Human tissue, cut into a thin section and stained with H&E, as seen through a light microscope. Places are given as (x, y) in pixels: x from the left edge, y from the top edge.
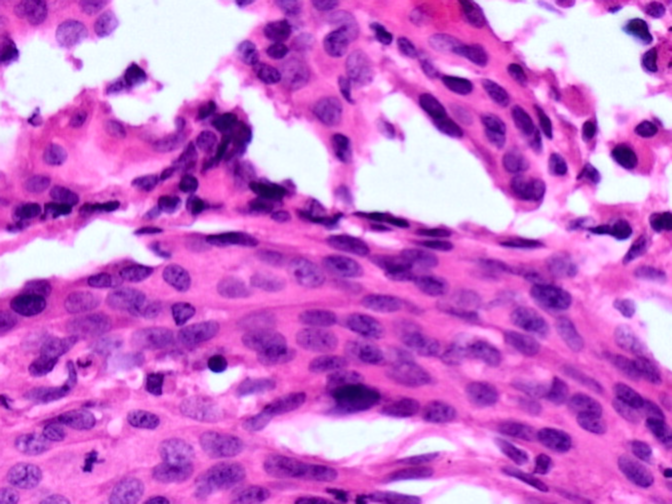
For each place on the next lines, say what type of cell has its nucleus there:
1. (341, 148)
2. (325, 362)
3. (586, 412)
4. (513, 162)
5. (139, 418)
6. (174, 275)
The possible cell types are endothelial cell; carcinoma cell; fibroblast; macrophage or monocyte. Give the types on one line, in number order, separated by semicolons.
macrophage or monocyte; carcinoma cell; carcinoma cell; carcinoma cell; macrophage or monocyte; macrophage or monocyte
